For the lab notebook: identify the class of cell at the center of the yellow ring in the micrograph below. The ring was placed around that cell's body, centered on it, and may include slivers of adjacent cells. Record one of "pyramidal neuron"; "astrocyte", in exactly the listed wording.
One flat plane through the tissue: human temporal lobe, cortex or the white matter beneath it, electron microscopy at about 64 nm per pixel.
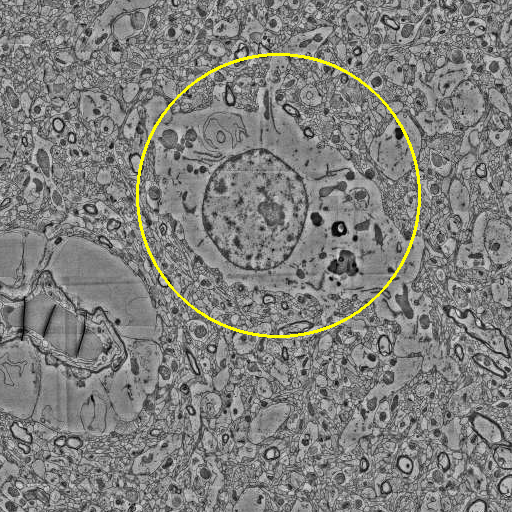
astrocyte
